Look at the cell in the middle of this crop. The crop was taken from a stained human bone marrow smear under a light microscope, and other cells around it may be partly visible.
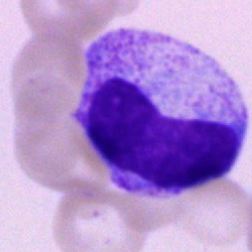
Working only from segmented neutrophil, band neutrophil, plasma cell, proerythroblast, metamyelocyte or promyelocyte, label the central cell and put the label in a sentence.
At the center of the crop sits a metamyelocyte.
